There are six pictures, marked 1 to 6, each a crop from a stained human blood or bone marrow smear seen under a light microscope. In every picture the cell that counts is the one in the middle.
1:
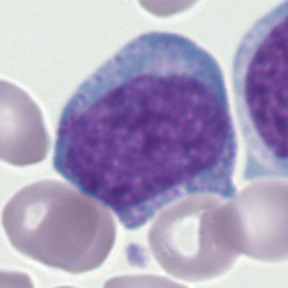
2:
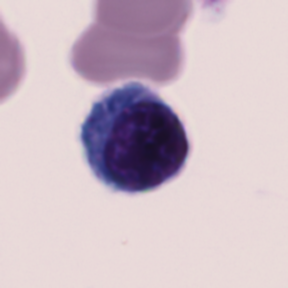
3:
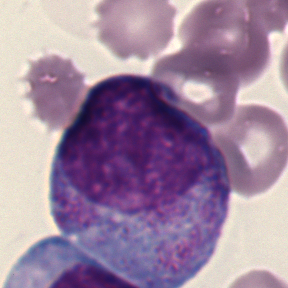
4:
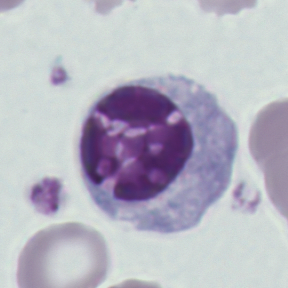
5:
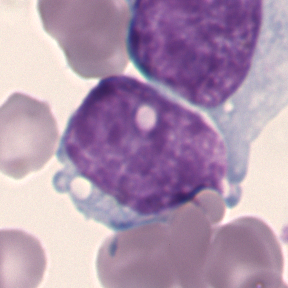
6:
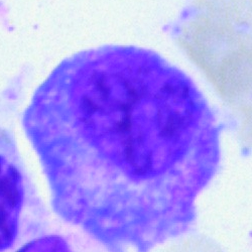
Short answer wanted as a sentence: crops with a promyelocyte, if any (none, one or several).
Crops 1, 3 and 6 are the ones showing promyelocytes.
